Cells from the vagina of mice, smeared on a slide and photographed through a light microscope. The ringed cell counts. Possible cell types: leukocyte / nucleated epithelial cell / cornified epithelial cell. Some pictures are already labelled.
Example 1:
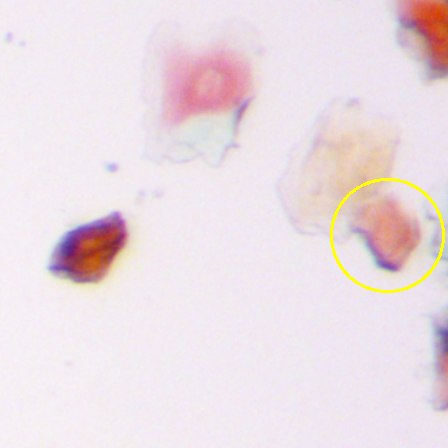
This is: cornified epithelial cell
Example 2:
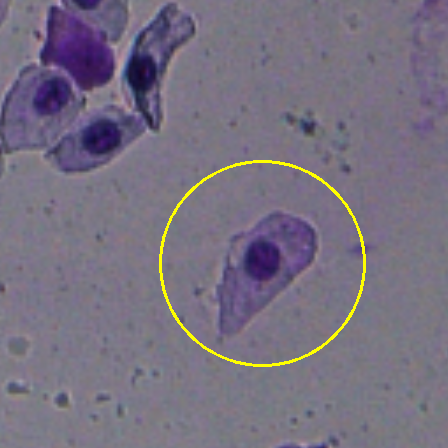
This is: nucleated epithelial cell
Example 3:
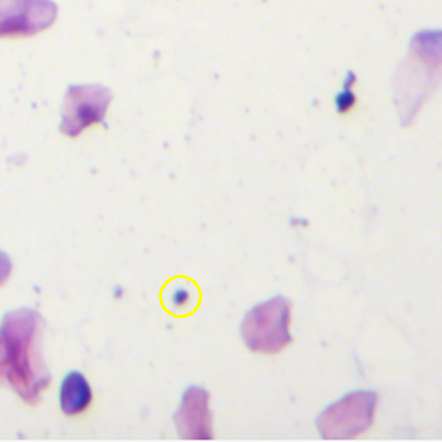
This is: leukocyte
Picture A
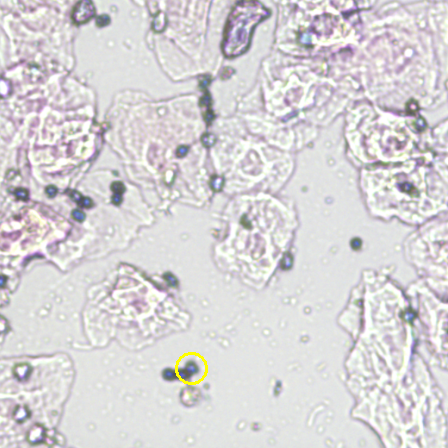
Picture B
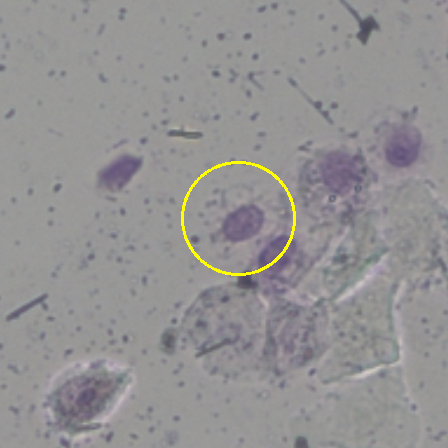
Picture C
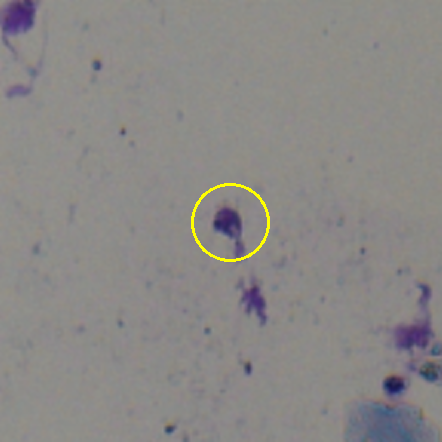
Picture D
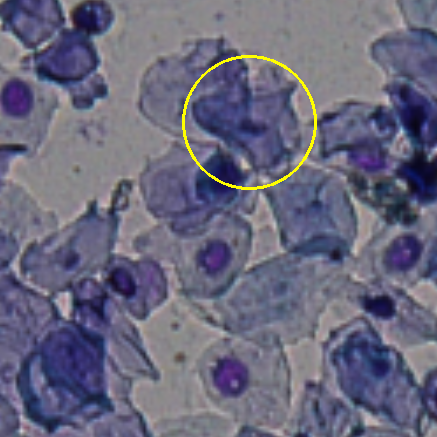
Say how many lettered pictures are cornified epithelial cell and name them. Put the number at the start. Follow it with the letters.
1: D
